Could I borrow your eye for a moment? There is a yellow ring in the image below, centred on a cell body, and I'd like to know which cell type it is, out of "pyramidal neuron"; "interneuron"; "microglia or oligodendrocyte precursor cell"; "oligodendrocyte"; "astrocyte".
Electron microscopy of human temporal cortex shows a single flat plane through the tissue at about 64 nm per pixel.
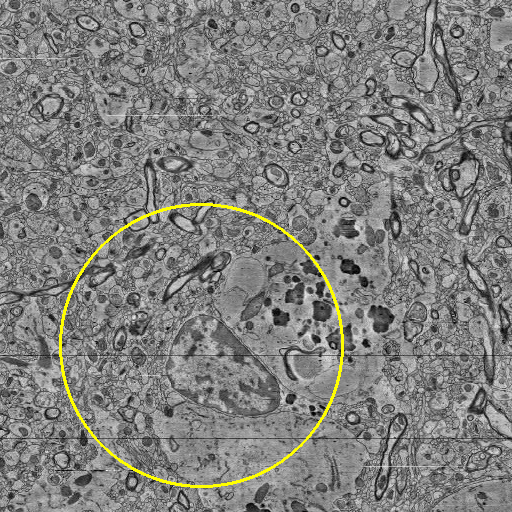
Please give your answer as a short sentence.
The cell body at the centre is that of a microglial cell or oligodendrocyte precursor cell.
